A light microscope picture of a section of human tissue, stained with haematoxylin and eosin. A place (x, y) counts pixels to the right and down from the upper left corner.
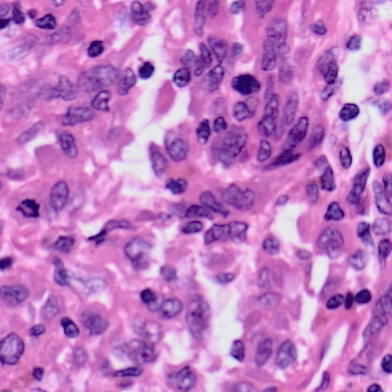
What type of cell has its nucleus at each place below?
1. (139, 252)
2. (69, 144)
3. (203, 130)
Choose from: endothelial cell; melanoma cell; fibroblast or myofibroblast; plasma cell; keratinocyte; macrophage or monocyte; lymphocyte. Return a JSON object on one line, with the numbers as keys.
{"1": "melanoma cell", "2": "melanoma cell", "3": "lymphocyte"}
